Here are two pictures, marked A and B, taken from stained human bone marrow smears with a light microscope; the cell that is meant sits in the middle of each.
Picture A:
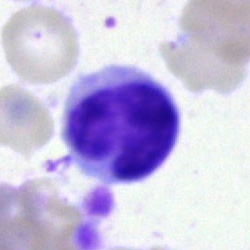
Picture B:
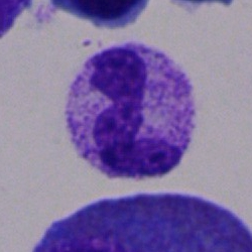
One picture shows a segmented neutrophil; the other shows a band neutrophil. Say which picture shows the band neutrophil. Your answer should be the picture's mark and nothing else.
A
